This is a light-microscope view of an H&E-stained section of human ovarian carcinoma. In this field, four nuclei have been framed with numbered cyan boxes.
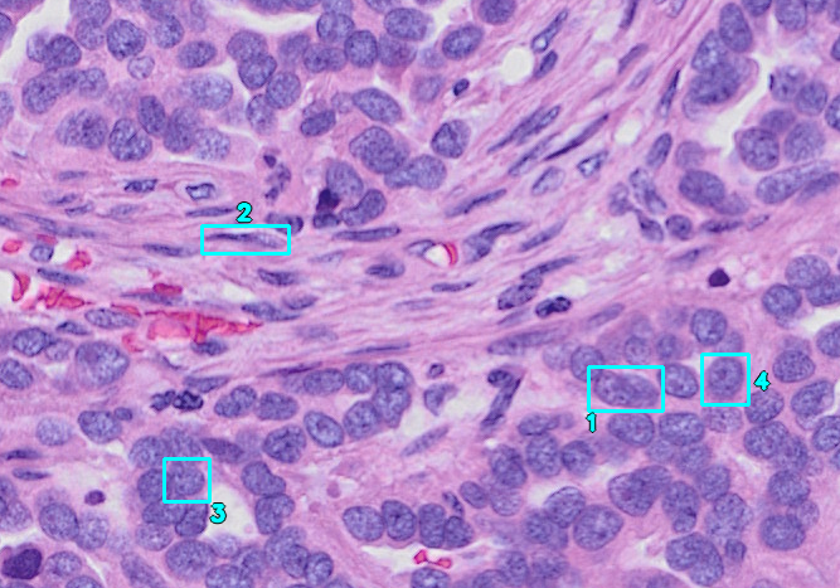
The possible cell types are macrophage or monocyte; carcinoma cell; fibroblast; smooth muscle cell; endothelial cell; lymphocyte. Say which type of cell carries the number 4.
carcinoma cell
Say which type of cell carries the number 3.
carcinoma cell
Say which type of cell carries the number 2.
fibroblast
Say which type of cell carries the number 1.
carcinoma cell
